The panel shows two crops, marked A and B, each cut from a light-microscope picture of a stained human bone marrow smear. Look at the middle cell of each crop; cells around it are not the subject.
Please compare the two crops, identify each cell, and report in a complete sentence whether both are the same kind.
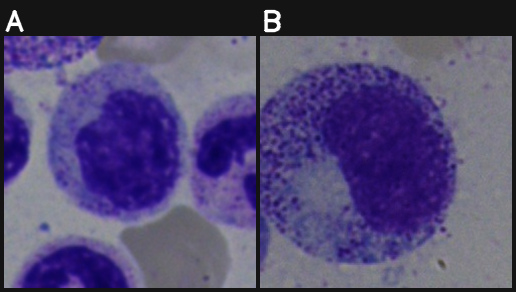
Yes, the cells at the centre of the two crops are both myelocytes.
